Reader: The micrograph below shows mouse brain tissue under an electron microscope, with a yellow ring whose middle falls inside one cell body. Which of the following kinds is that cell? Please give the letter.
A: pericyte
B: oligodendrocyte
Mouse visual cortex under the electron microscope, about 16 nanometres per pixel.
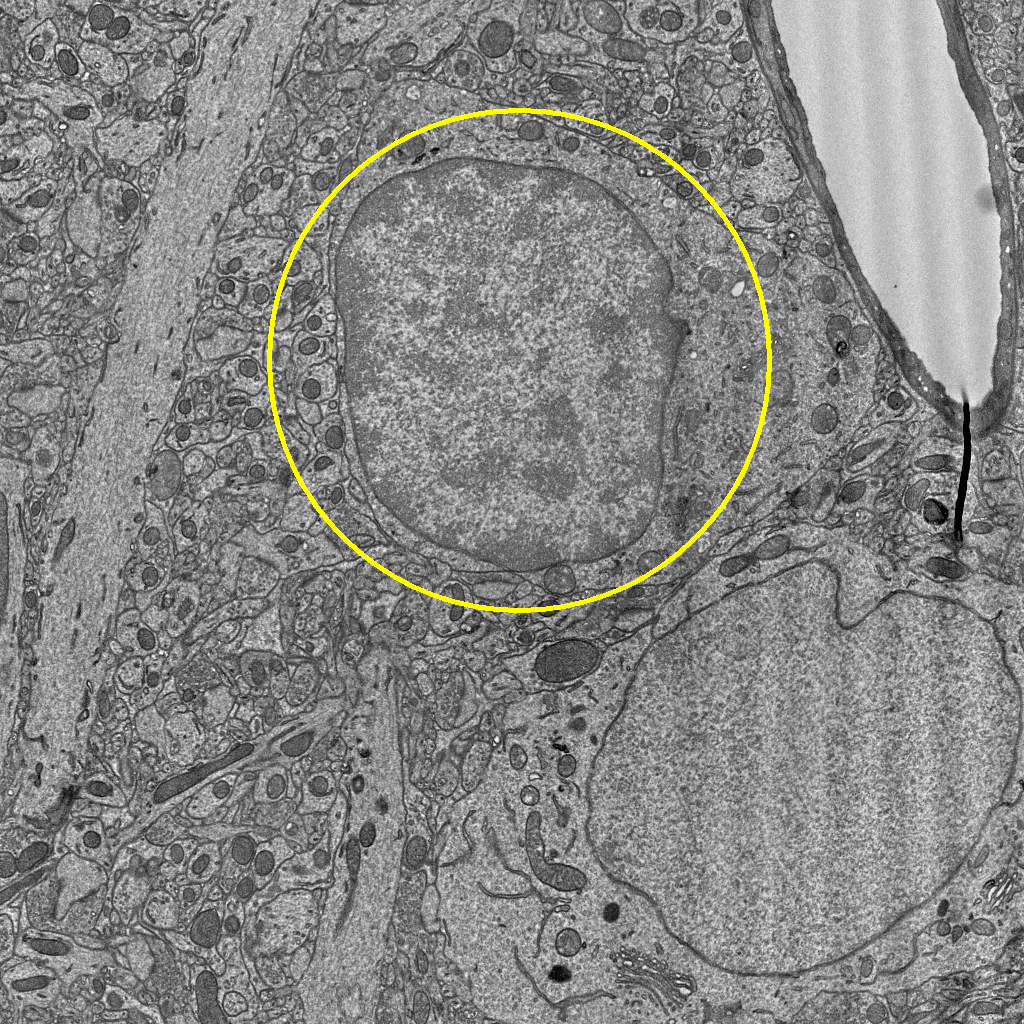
B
